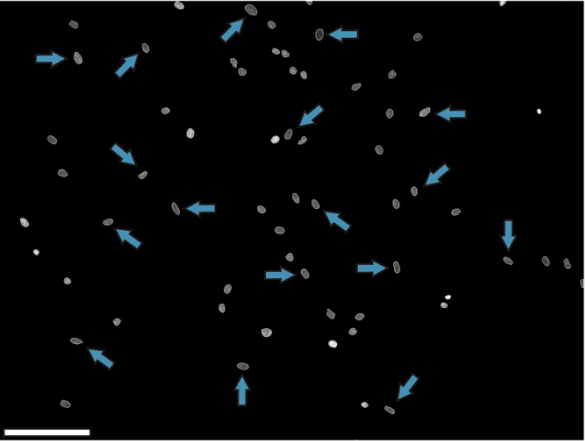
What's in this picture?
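Most nuclei are small ellipses that are distinctly longer than wide, and they point in many different directions. Their staining is fairly even, with a few nuclei appearing brighter and smaller than the rest. The cells are sparse and do not touch one another. The elongated outlines marked by the arrows are oval nuclei.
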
